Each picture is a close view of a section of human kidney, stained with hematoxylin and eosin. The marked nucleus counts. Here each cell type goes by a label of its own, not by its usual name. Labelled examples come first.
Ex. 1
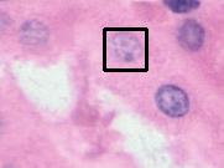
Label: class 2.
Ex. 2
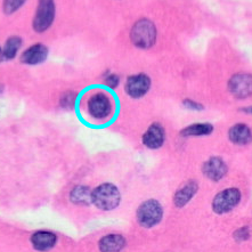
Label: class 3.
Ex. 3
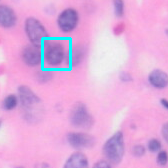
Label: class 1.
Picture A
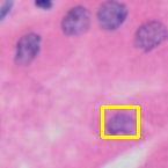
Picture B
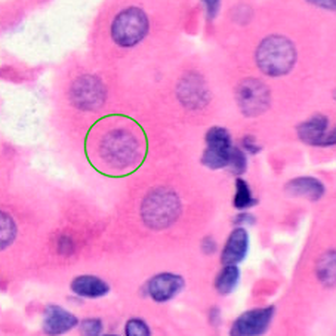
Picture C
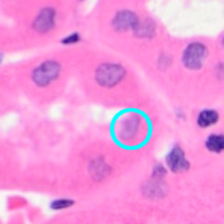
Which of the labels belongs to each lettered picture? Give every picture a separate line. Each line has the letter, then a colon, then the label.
A: class 2.
B: class 2.
C: class 2.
